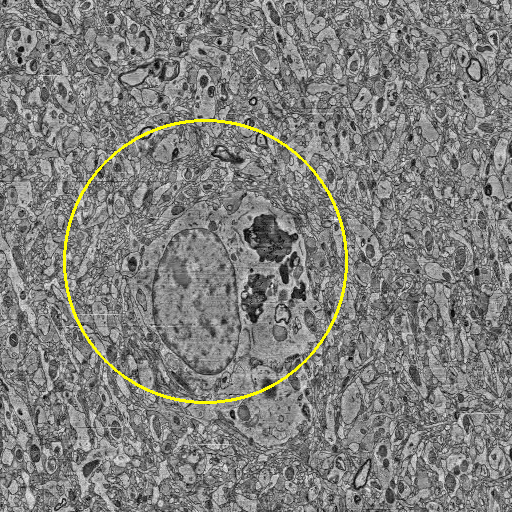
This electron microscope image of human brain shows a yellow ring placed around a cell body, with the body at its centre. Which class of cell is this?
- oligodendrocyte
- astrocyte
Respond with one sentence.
The cell body at the ring's centre is an astrocyte.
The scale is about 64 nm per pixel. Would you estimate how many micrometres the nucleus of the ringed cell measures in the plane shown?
Roughly 10 by 6 micrometres; in this plane, clearly longer than it is wide.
